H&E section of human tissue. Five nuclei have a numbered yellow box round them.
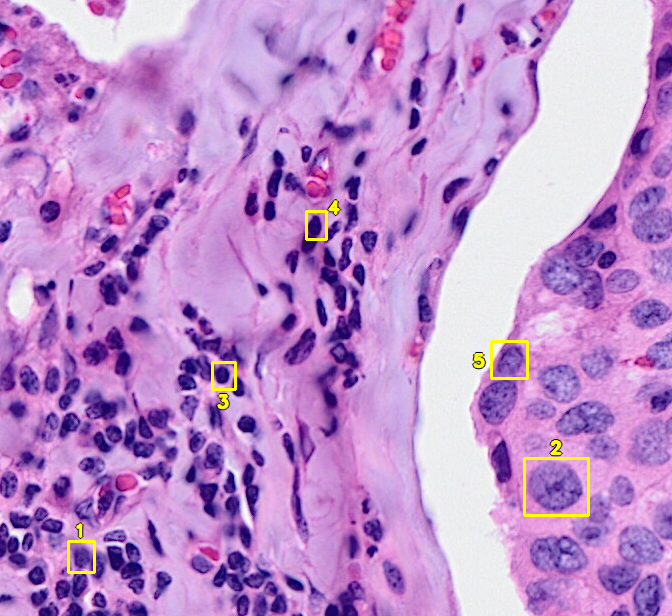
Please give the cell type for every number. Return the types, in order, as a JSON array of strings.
["lymphocyte", "carcinoma cell", "lymphocyte", "lymphocyte", "carcinoma cell"]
